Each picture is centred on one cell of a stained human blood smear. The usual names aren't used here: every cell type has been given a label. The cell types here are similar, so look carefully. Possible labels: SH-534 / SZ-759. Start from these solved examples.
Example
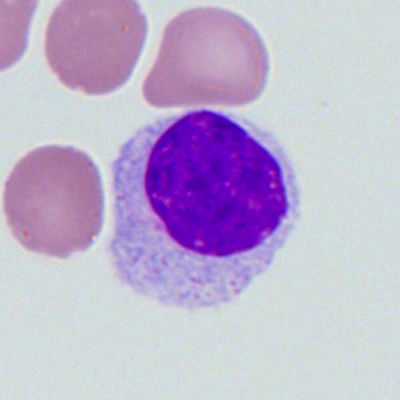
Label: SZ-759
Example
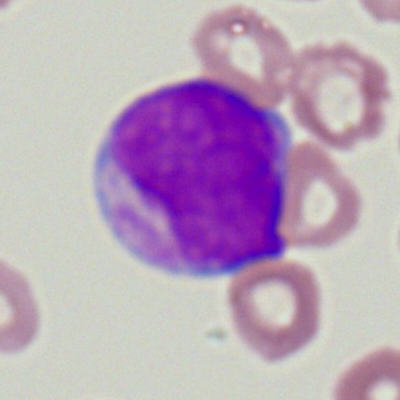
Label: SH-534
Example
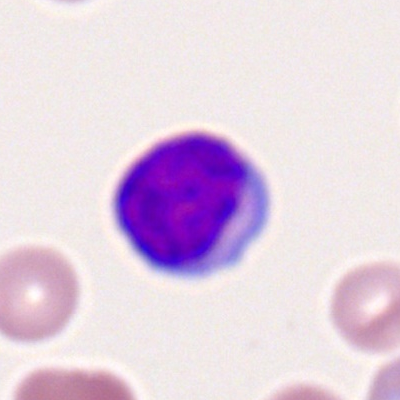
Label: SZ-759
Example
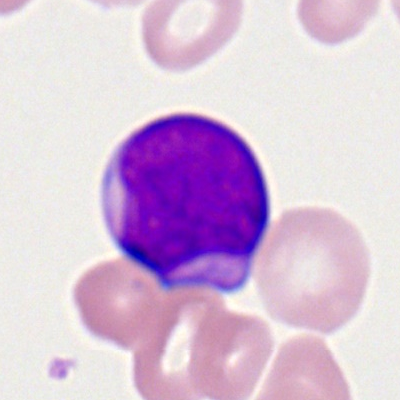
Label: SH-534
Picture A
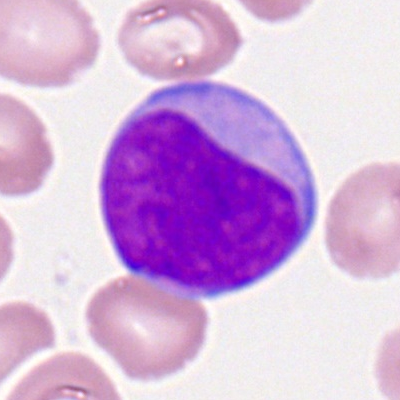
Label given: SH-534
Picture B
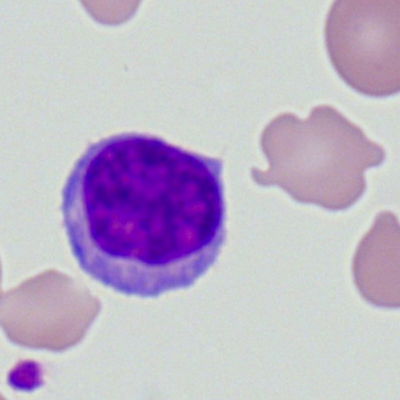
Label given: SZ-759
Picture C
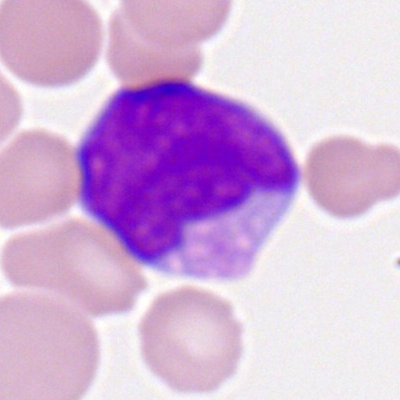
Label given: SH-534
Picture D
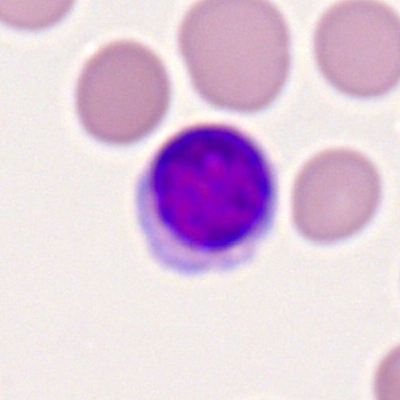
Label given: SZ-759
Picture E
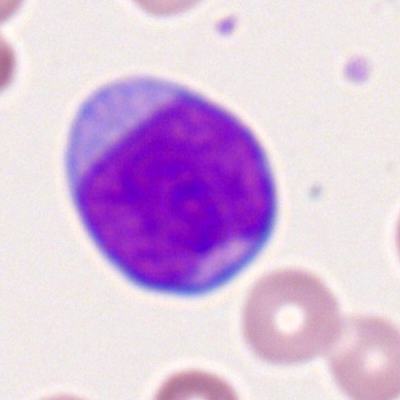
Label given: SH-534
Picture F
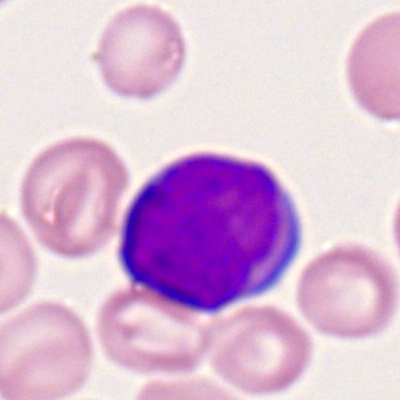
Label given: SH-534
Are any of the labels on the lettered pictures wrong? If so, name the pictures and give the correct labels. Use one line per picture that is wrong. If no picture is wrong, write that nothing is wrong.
Nothing to fix; every label fits.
